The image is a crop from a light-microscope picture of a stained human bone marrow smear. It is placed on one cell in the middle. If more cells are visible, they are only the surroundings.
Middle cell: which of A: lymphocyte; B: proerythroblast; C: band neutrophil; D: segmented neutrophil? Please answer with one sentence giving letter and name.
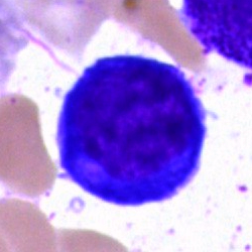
The best answer is option B, since the cell in the middle is a proerythroblast.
